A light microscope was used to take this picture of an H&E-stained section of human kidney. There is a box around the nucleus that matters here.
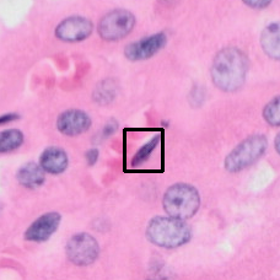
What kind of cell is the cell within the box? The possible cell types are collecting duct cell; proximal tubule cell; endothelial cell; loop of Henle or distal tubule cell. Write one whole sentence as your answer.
The cell within the box is an endothelial cell.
